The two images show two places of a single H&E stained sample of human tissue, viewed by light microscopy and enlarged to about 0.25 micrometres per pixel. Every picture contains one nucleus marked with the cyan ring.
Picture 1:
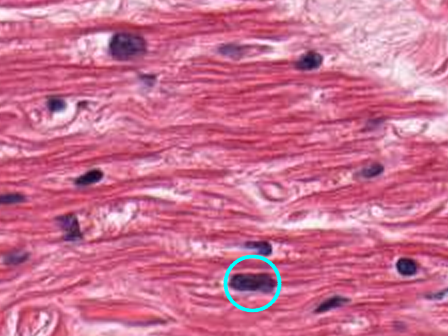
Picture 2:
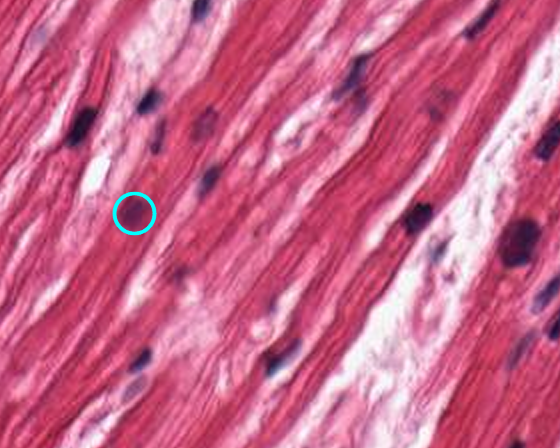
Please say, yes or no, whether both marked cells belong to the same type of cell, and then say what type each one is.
Yes, both are cardiomyocytes.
